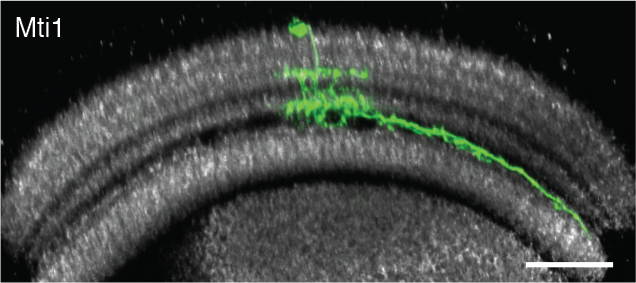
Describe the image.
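This is a side view of the curved, layered medulla neuropil in gray, with a single labeled neuron in green. The cell body sits above the neuropil, and a short vertical neurite descends into it. The gray neuropil shows distinct horizontal bands separated by darker layers.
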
